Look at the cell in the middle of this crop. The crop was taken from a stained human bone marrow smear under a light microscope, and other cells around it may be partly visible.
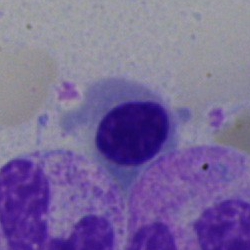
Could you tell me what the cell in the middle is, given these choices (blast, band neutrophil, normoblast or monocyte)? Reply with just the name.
normoblast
